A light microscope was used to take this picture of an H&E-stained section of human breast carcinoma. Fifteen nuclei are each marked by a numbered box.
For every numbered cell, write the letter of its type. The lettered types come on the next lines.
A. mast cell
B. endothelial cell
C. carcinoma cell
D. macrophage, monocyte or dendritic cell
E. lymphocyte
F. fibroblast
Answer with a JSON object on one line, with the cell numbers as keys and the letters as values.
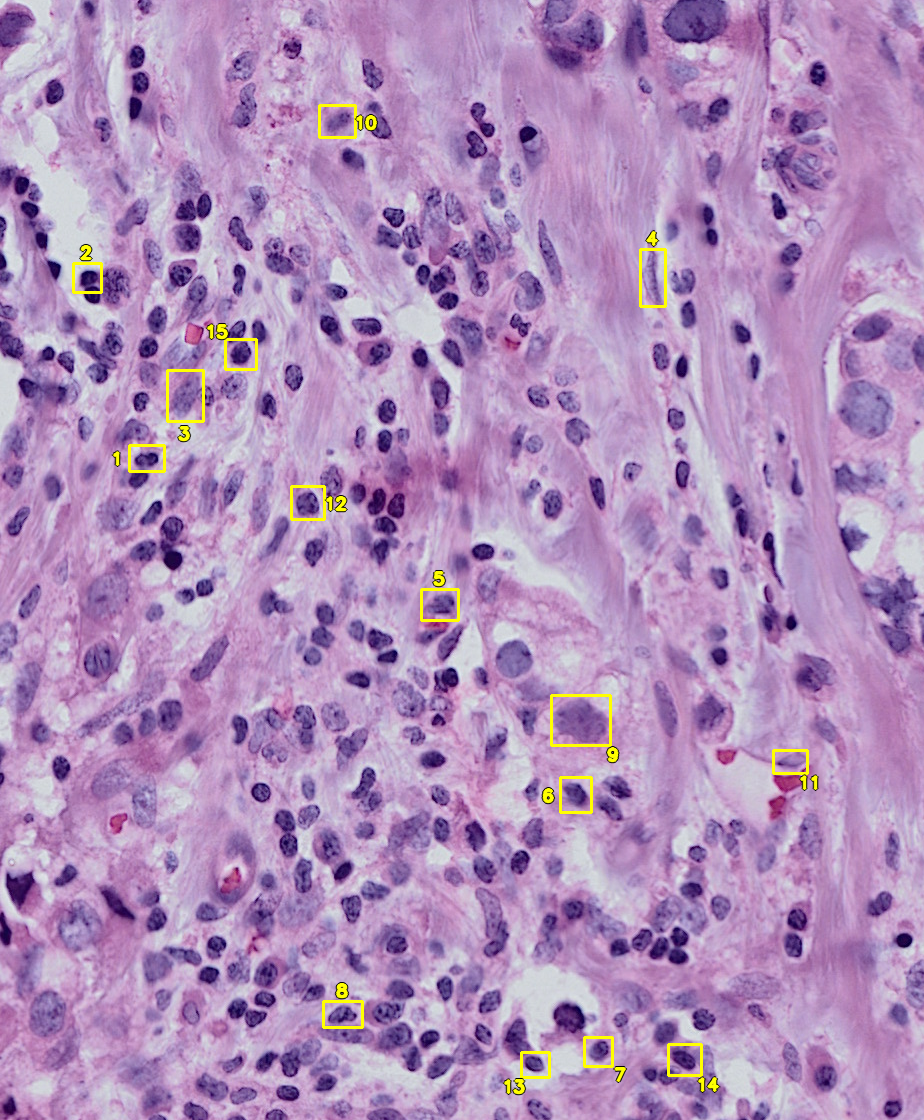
{"1": "E", "2": "E", "3": "B", "4": "F", "5": "B", "6": "E", "7": "A", "8": "E", "9": "C", "10": "A", "11": "B", "12": "E", "13": "E", "14": "E", "15": "E"}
